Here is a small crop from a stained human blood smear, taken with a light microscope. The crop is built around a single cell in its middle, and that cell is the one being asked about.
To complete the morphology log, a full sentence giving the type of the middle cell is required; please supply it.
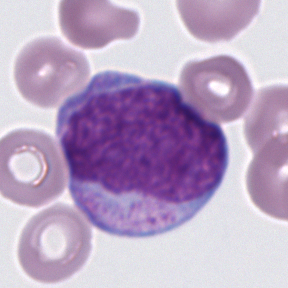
What the crop centres on is an atypical promyelocyte.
